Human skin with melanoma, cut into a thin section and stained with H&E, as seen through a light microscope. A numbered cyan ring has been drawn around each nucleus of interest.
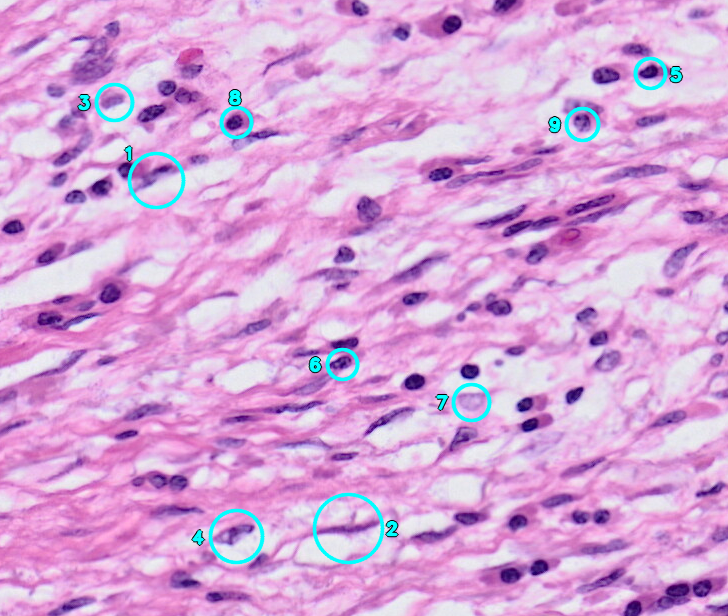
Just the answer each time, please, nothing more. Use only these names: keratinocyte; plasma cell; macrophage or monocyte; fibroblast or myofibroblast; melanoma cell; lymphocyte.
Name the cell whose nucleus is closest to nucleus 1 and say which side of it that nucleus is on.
a plasma cell; to the left of nucleus 1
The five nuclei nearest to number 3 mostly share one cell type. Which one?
plasma cell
